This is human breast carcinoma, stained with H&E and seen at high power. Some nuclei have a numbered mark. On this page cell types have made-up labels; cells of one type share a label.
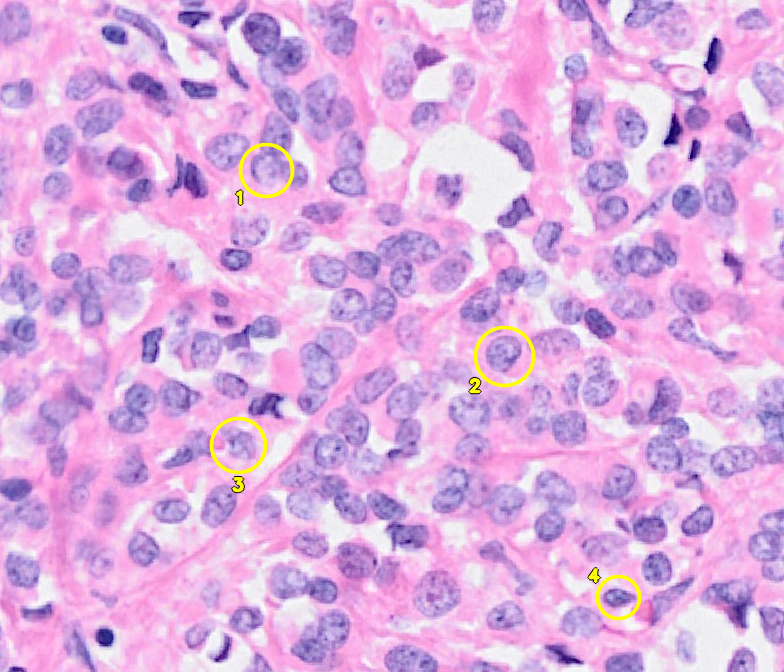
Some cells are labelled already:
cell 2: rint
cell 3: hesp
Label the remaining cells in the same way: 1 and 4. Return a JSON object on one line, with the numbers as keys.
{"1": "rint", "4": "hesp"}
